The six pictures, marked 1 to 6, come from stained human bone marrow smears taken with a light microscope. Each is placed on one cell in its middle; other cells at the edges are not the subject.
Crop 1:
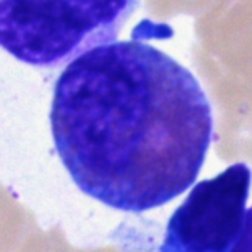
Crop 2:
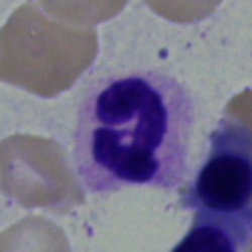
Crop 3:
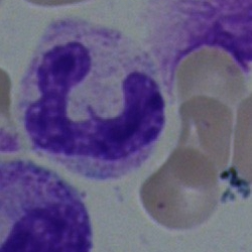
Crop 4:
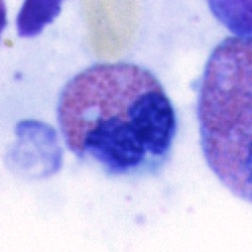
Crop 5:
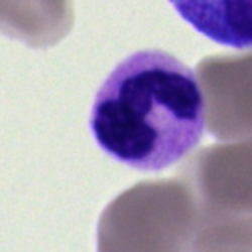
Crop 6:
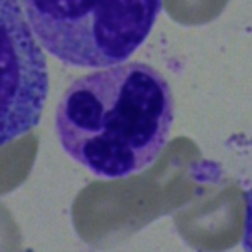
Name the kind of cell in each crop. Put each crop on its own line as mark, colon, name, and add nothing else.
1: eosinophil
2: segmented neutrophil
3: band neutrophil
4: eosinophil
5: segmented neutrophil
6: segmented neutrophil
